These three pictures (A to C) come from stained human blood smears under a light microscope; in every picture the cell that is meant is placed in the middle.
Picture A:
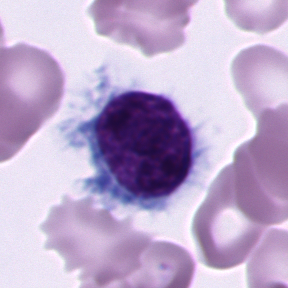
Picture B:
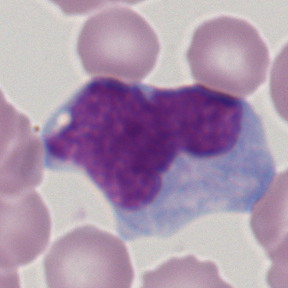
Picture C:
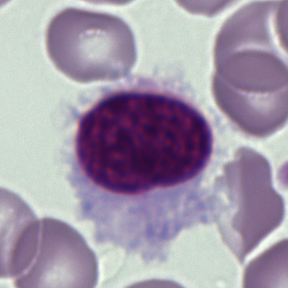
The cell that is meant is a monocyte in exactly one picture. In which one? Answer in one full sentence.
The picture with the monocyte is B.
